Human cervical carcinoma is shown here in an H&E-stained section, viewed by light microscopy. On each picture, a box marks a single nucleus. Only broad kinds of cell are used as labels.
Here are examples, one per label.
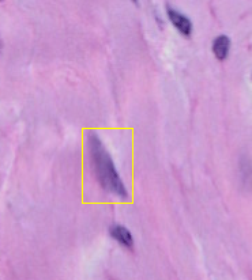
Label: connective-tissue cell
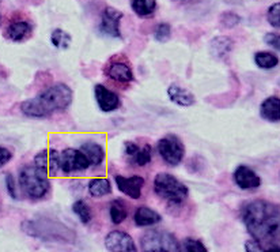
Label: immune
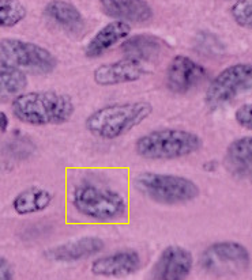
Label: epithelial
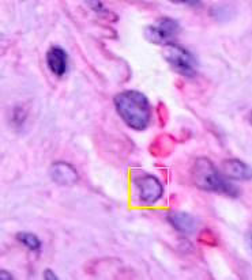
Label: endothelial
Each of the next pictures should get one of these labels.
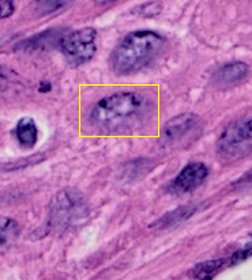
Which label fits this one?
epithelial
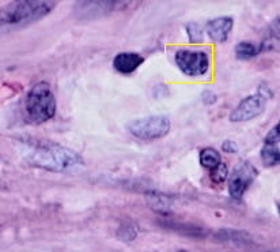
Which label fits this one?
immune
